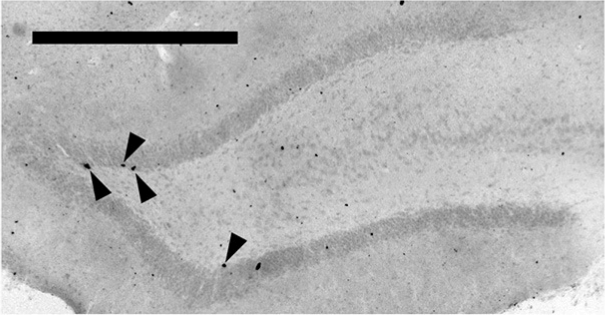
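This low-power section shows the dentate gyrus of the hippocampus. Its densely packed granule cell layer forms a darker grey band that curves into two blades meeting at an apex. A few small, intensely black, round to oval nuclei sit at the inner border of this band, where the subgranular zone lies. Other scattered dark dots appear in the paler surrounding neuropil.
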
